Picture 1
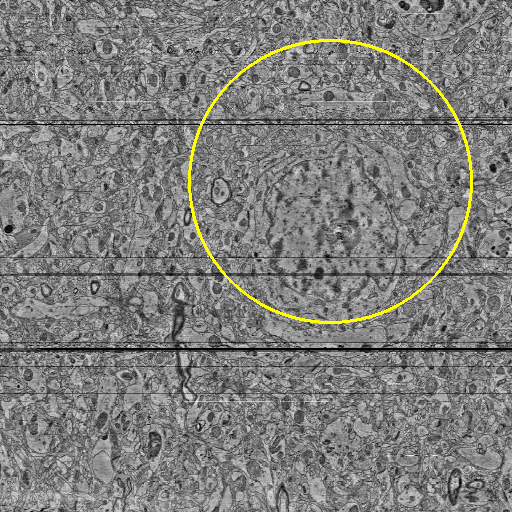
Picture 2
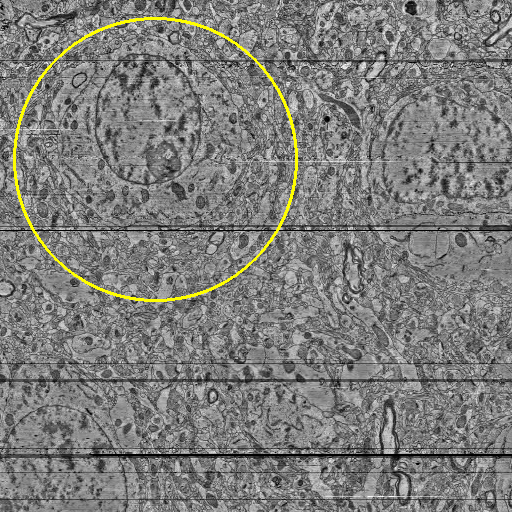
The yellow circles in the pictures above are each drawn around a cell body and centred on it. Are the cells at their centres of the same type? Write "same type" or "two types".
two types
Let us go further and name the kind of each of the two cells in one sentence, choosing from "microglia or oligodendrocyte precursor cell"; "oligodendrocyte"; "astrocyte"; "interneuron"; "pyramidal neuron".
The ring of the first picture is on an interneuron, the ring of the second on a pyramidal neuron.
